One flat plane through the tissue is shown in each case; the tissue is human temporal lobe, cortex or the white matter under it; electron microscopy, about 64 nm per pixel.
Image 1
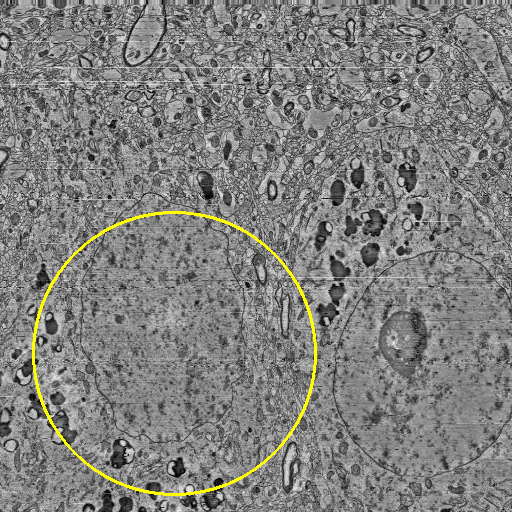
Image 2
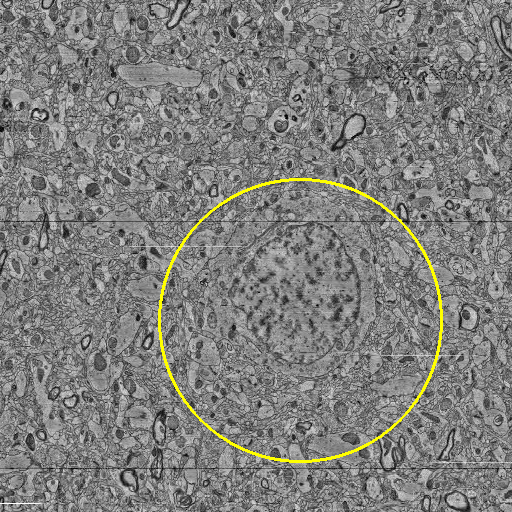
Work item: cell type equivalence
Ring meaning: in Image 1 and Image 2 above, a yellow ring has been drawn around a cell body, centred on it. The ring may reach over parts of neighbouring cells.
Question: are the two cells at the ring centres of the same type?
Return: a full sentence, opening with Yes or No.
No, the two centred cells are of two types.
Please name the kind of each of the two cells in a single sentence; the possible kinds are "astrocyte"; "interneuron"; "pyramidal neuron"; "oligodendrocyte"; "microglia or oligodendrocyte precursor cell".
In the first picture the ring is centred on a pyramidal neuron, and in the second on an interneuron.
